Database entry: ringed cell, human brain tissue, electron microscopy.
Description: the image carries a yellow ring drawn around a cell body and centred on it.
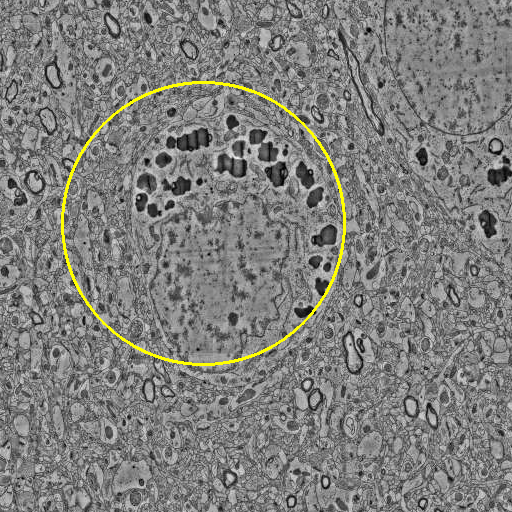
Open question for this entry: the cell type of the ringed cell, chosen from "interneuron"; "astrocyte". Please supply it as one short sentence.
The ringed cell is an interneuron.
